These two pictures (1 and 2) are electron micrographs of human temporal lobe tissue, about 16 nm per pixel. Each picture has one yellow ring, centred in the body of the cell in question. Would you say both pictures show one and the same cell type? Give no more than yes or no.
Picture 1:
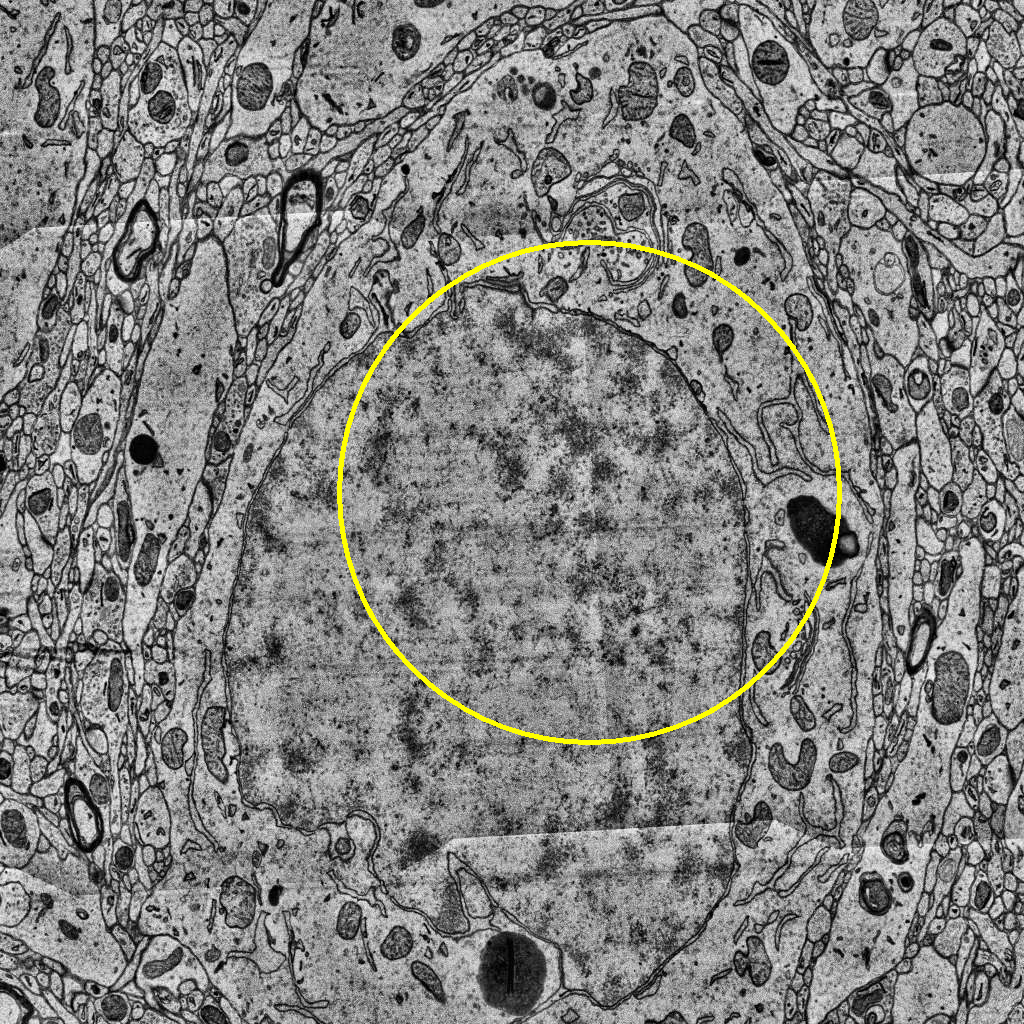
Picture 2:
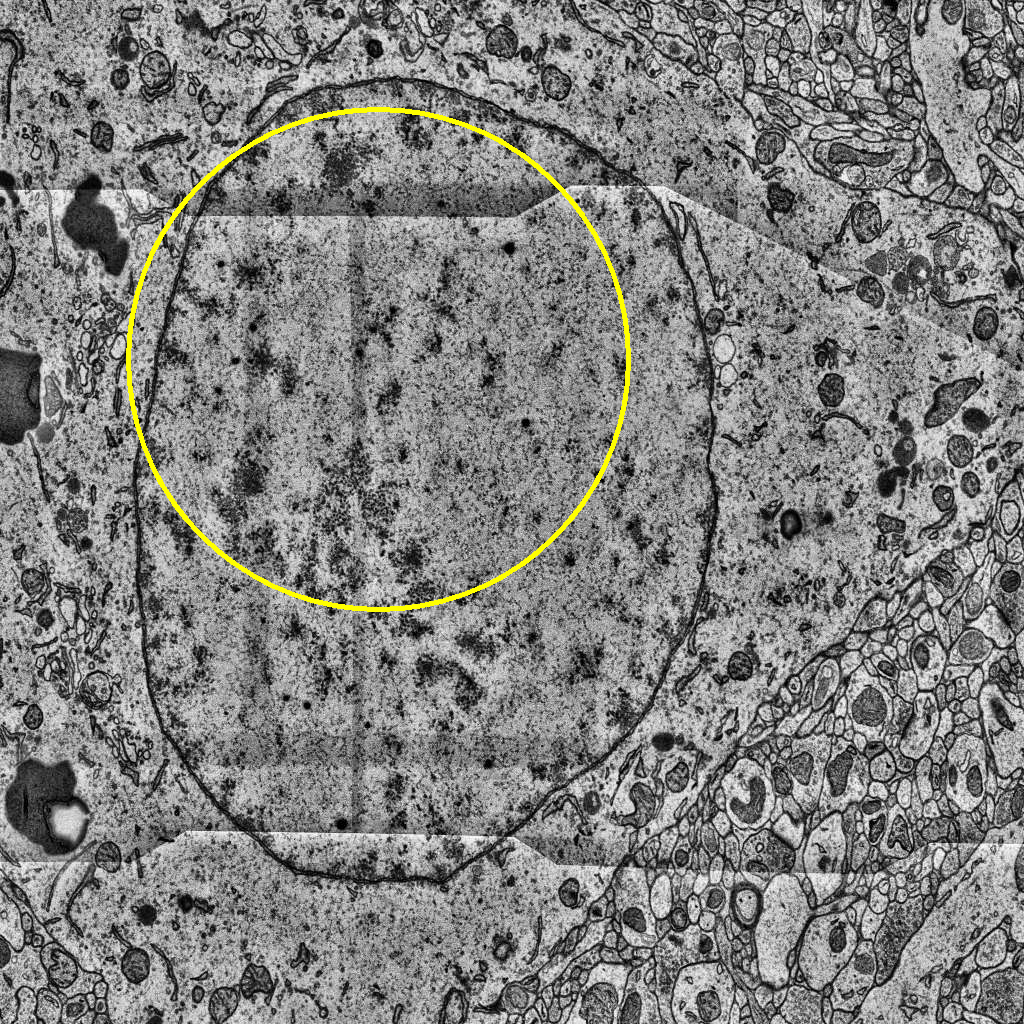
no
